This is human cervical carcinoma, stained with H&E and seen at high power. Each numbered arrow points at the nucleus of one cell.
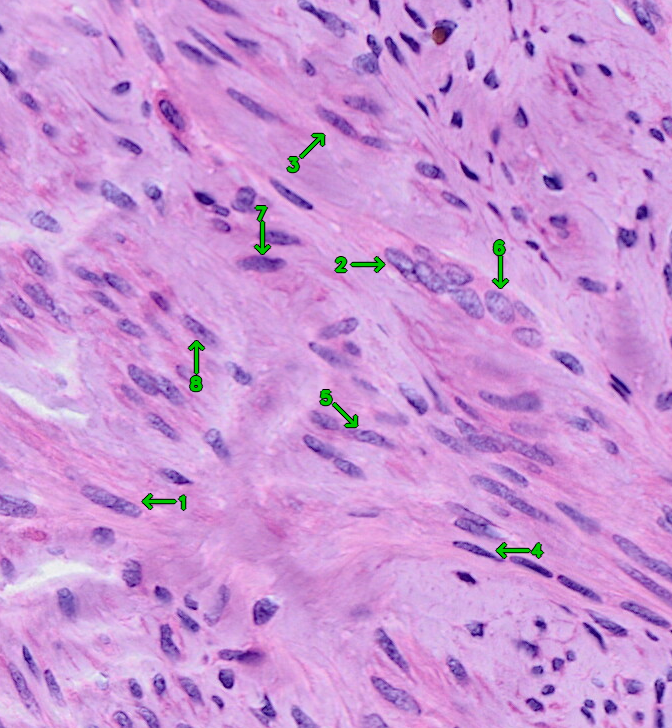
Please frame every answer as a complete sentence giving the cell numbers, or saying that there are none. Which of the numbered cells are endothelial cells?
The cells numbered 2 and 6 are identified as endothelial cells.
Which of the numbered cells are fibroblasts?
Among the labelled cells, only the cell labelled 4 is a fibroblast.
